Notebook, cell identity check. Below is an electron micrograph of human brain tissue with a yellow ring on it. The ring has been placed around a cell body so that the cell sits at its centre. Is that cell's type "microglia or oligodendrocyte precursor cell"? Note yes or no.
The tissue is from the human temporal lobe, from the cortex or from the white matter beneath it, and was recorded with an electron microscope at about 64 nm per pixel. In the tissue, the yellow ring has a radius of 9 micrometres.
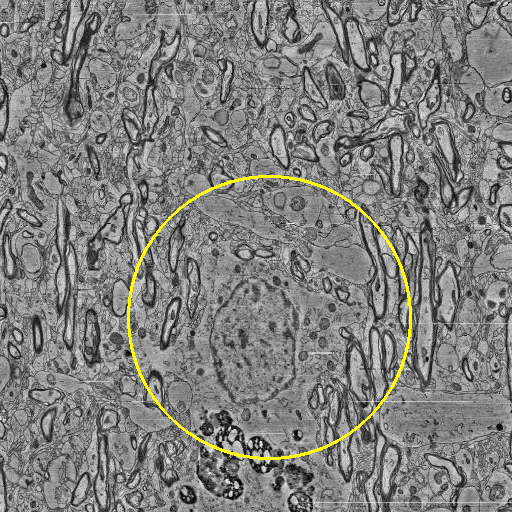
No, its cell type is another one.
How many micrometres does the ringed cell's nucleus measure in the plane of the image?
In this plane, the nucleus is roughly 8 by 6 micrometres.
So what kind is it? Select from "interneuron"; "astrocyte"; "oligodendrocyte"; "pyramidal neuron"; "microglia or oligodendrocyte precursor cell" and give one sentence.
Sitting at the ring centre is an astrocyte.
